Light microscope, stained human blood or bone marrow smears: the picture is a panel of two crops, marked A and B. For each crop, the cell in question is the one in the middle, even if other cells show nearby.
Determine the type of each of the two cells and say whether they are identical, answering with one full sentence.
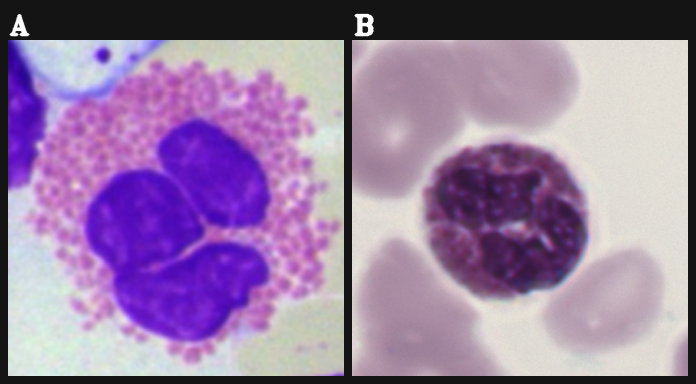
Yes, the cells placed at the centre of both crops are eosinophils.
